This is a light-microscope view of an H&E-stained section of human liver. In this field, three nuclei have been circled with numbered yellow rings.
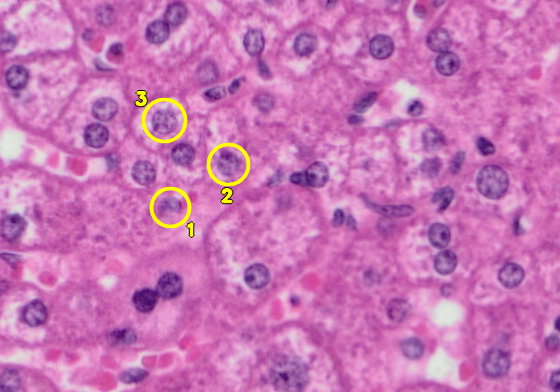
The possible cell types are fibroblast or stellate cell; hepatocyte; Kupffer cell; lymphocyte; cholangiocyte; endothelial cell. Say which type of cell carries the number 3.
hepatocyte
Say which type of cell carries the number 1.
endothelial cell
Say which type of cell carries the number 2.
hepatocyte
